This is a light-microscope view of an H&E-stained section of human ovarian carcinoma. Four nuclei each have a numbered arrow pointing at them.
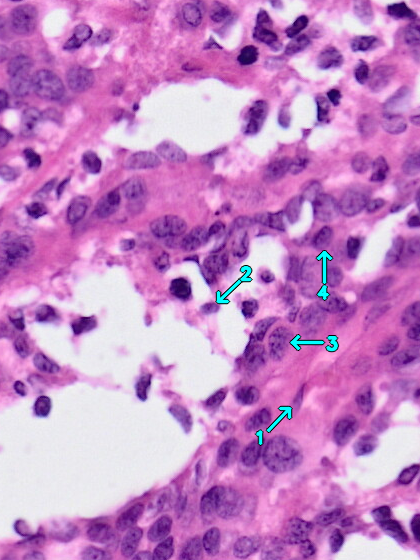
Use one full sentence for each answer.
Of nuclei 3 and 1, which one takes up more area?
Nucleus 3 is larger, with an area about 2.5 times that of nucleus 1.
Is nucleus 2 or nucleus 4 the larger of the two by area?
At about 1.5 times the area of nucleus 2, nucleus 4 is the larger of the two.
